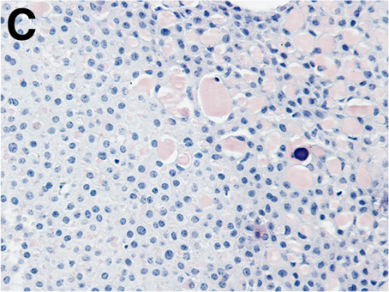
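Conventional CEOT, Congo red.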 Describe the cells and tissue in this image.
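Sheet of epithelial tumor cells with round blue nuclei and pale cytoplasm, interspersed with homogeneous pink-red globules of amyloid-like material. The globules vary in size and lie between the cells. One small round body is stained dark blue-purple, consistent with calcified material.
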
